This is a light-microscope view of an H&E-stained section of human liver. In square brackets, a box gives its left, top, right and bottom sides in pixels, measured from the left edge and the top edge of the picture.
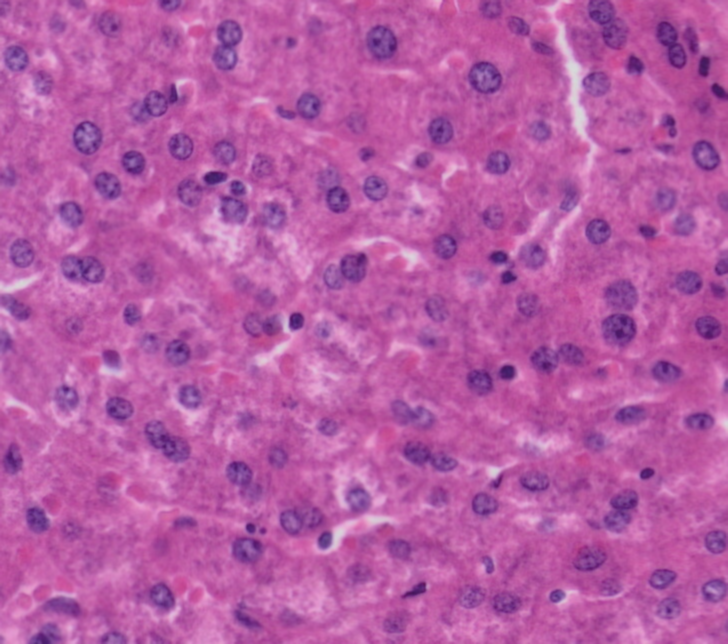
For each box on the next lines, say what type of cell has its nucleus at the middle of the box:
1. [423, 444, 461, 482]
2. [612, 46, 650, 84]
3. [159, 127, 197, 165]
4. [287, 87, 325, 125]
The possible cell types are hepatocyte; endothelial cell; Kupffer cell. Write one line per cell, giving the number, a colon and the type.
1: hepatocyte
2: endothelial cell
3: hepatocyte
4: hepatocyte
